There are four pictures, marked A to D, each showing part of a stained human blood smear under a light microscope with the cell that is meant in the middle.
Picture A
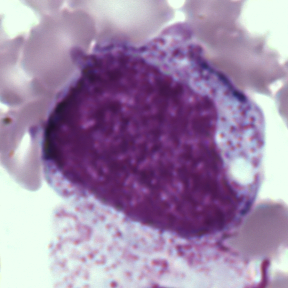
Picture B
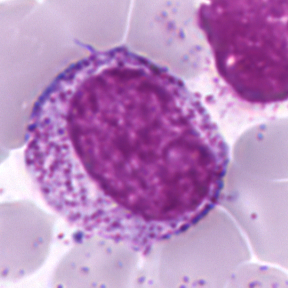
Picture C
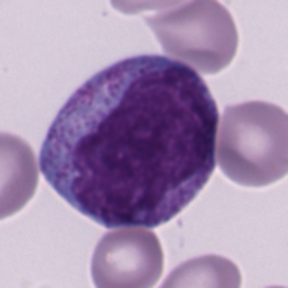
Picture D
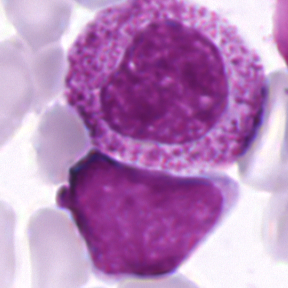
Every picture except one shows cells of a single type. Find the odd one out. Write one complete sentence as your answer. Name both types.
Picture C is the odd one out: it shows a promyelocyte, while the others show myelocytes.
